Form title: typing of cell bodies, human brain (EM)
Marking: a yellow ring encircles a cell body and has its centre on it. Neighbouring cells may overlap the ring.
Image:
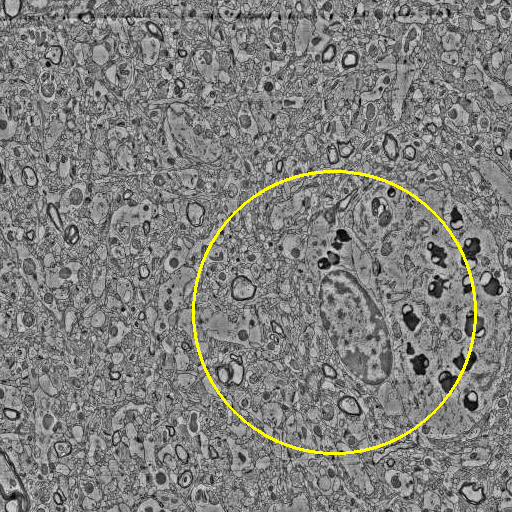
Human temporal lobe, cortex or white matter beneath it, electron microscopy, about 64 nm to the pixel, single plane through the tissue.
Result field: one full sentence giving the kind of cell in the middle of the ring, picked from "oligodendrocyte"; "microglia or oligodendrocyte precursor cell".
In the picture, the ring is centred on a microglial cell or oligodendrocyte precursor cell, whose cell body it encircles.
